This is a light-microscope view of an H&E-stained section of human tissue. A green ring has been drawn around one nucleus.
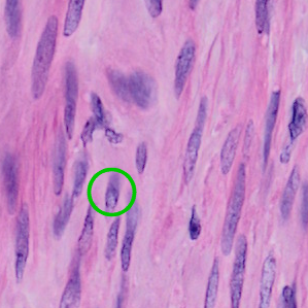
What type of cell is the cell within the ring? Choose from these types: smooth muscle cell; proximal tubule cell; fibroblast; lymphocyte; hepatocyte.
smooth muscle cell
